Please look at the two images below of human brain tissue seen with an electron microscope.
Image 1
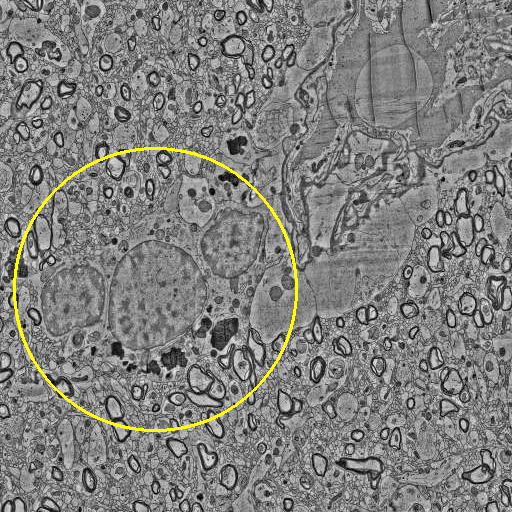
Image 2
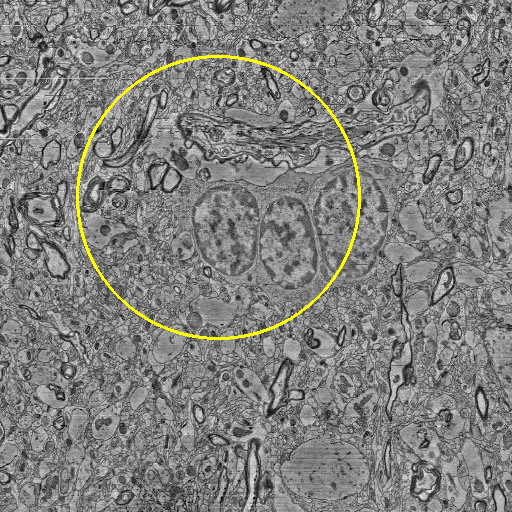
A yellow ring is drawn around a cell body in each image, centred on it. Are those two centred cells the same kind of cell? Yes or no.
yes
